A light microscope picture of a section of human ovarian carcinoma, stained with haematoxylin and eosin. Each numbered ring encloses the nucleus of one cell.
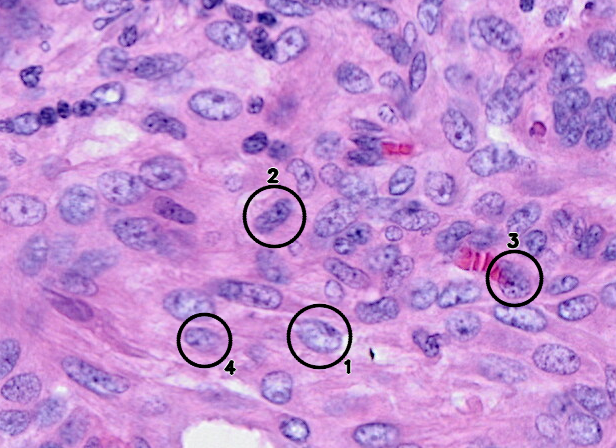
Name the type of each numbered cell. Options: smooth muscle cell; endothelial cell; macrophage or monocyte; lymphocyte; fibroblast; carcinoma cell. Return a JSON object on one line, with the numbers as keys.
{"1": "fibroblast", "2": "macrophage or monocyte", "3": "endothelial cell", "4": "fibroblast"}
